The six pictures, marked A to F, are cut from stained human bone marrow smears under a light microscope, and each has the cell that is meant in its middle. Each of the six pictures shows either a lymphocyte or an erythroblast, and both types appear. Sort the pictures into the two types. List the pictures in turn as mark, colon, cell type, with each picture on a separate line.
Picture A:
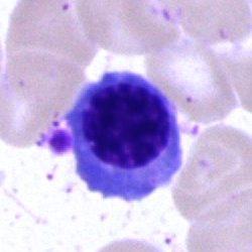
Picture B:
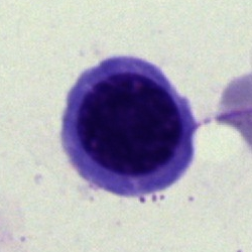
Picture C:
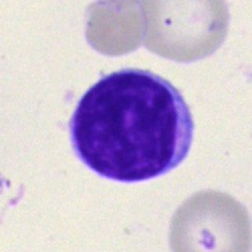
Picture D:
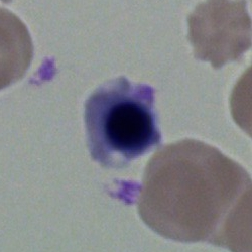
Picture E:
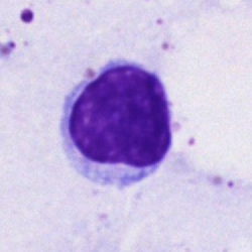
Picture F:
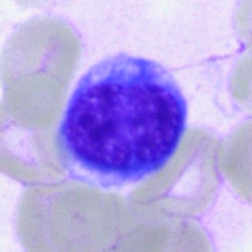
A: erythroblast
B: erythroblast
C: lymphocyte
D: erythroblast
E: lymphocyte
F: lymphocyte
